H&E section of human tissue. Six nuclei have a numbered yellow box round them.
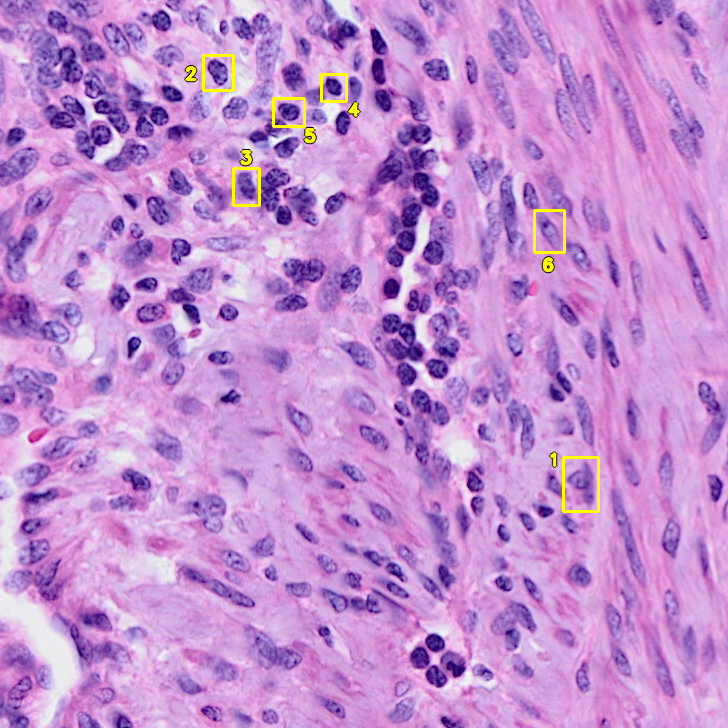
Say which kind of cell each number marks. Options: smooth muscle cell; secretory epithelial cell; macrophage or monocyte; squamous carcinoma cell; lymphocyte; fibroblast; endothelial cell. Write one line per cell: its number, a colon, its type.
1: smooth muscle cell
2: lymphocyte
3: lymphocyte
4: lymphocyte
5: lymphocyte
6: smooth muscle cell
